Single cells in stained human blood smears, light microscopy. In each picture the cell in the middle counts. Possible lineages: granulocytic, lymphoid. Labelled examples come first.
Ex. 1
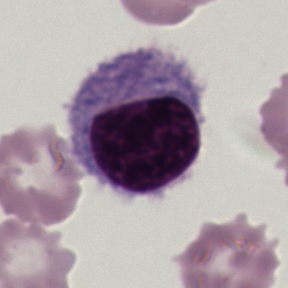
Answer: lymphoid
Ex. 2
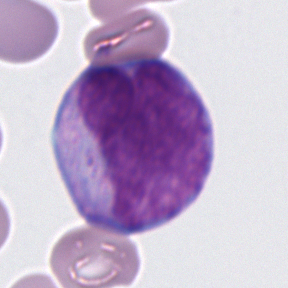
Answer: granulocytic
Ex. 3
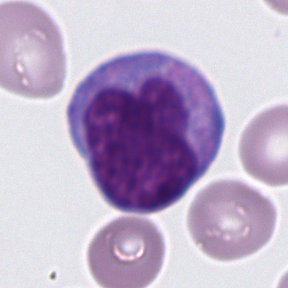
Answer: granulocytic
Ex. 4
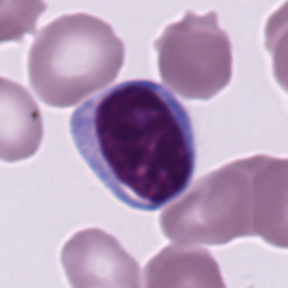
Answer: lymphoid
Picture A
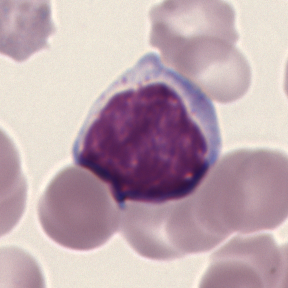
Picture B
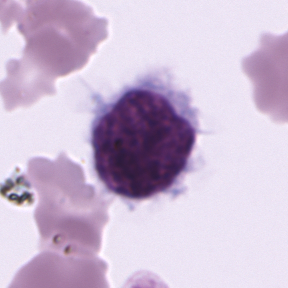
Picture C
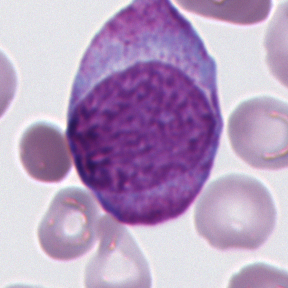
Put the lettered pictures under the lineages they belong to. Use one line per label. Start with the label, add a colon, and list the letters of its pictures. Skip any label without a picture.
granulocytic: C
lymphoid: A, B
